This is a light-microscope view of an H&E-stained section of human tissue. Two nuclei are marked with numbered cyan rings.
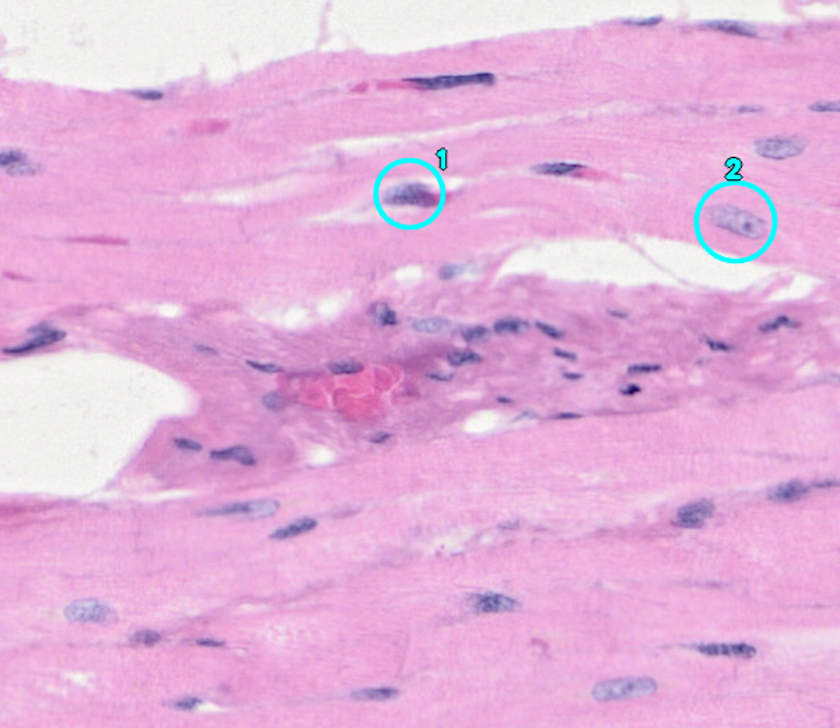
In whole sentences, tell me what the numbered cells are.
Cell 1 is an endothelial cell. Cell 2 is a cardiomyocyte.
